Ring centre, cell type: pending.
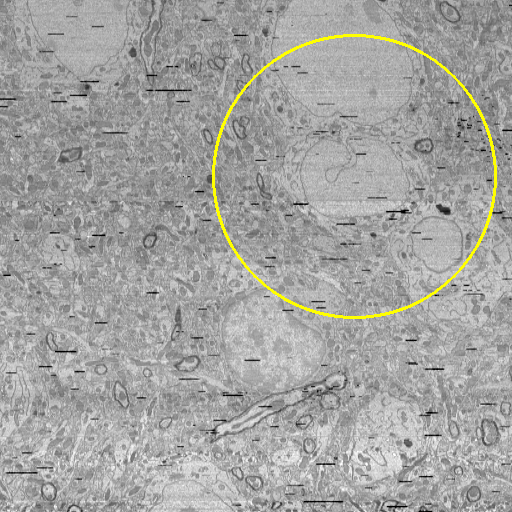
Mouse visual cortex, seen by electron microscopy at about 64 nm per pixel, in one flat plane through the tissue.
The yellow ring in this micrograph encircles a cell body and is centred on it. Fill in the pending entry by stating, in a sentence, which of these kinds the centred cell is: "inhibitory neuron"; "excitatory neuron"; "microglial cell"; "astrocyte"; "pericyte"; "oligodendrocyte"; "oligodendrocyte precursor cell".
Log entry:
The centred cell is recorded as an inhibitory neuron.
